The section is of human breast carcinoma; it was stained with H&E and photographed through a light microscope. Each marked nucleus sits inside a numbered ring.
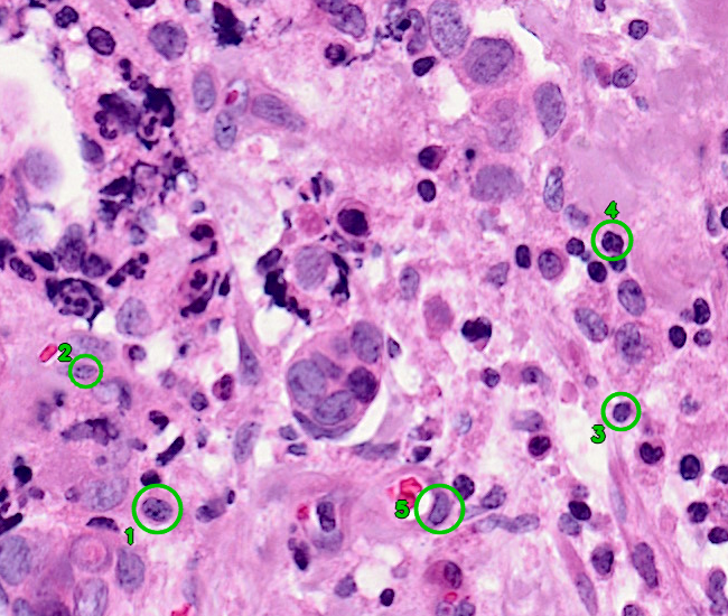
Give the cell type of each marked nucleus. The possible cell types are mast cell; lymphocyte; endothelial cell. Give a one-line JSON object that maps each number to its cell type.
{"1": "mast cell", "2": "endothelial cell", "3": "lymphocyte", "4": "lymphocyte", "5": "endothelial cell"}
